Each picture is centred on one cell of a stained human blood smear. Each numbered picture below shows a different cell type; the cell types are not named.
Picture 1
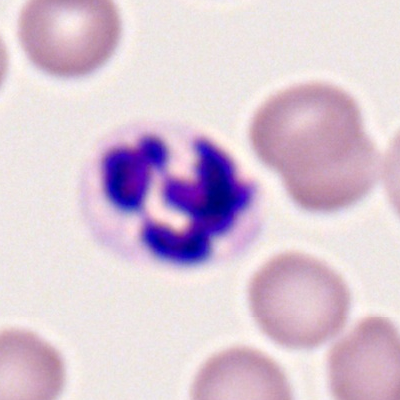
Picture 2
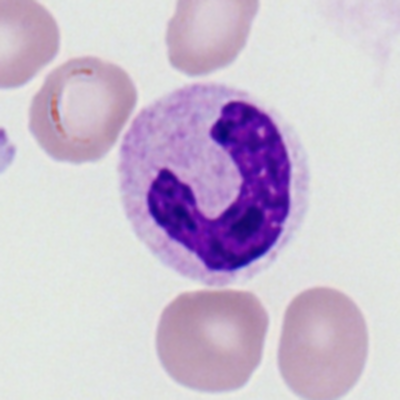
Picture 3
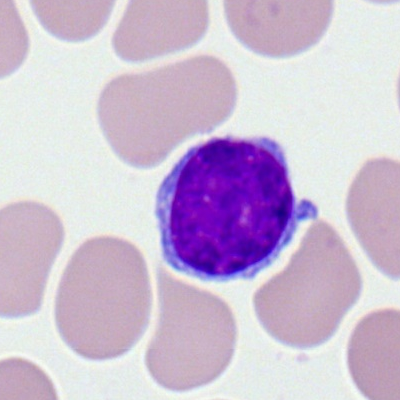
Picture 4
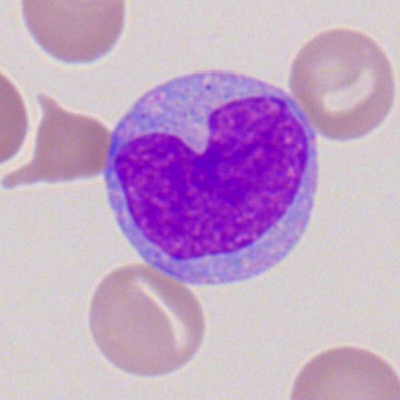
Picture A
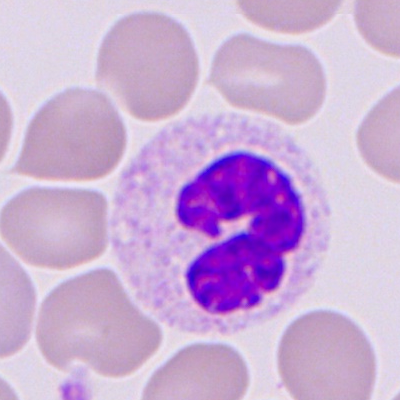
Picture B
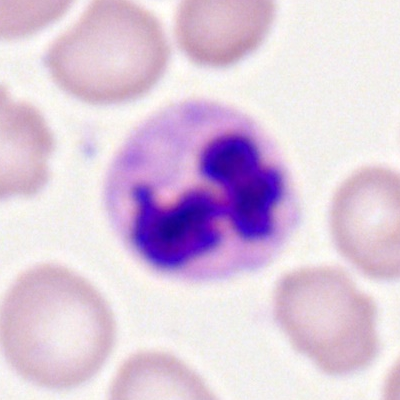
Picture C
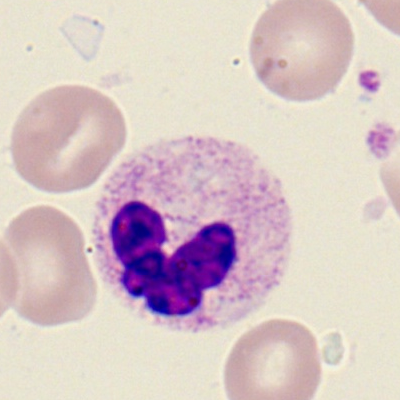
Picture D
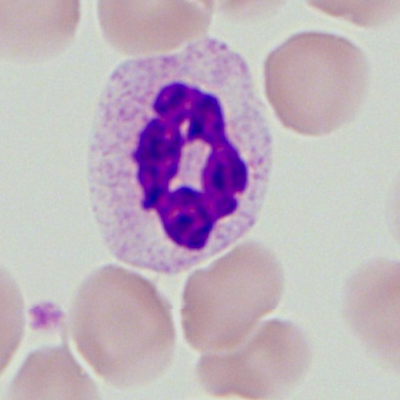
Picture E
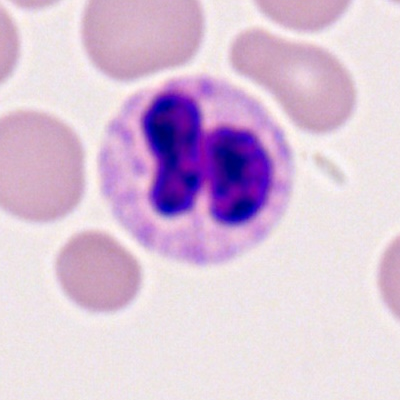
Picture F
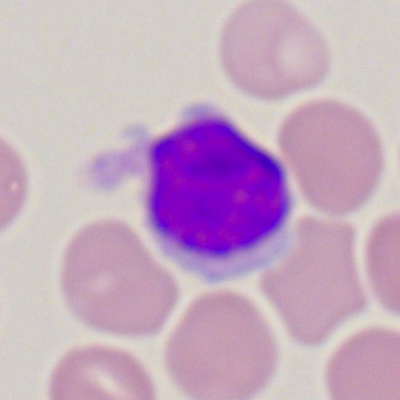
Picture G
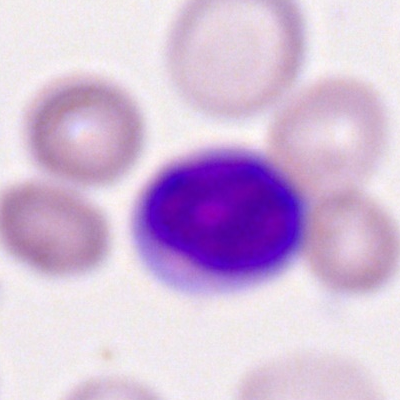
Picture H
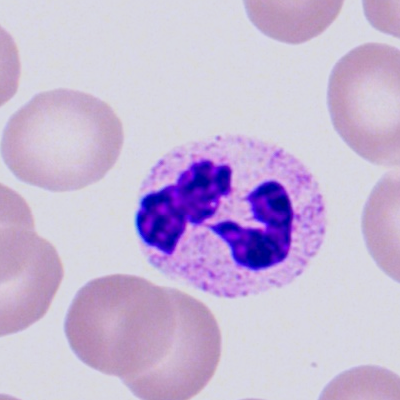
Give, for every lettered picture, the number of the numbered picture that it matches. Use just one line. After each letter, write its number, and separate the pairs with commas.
A 2, B 1, C 1, D 1, E 1, F 3, G 3, H 1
